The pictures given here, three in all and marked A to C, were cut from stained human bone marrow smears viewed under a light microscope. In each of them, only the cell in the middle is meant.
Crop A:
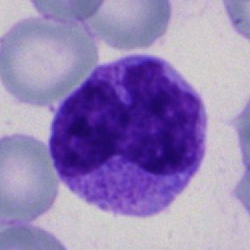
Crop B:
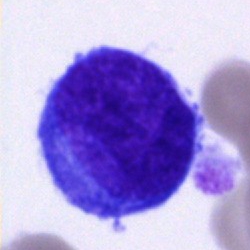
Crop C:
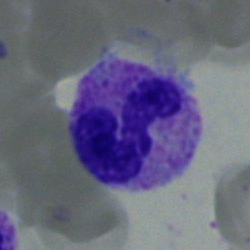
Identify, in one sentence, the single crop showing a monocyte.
Of the labeled crops, the one with a monocyte is crop A.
